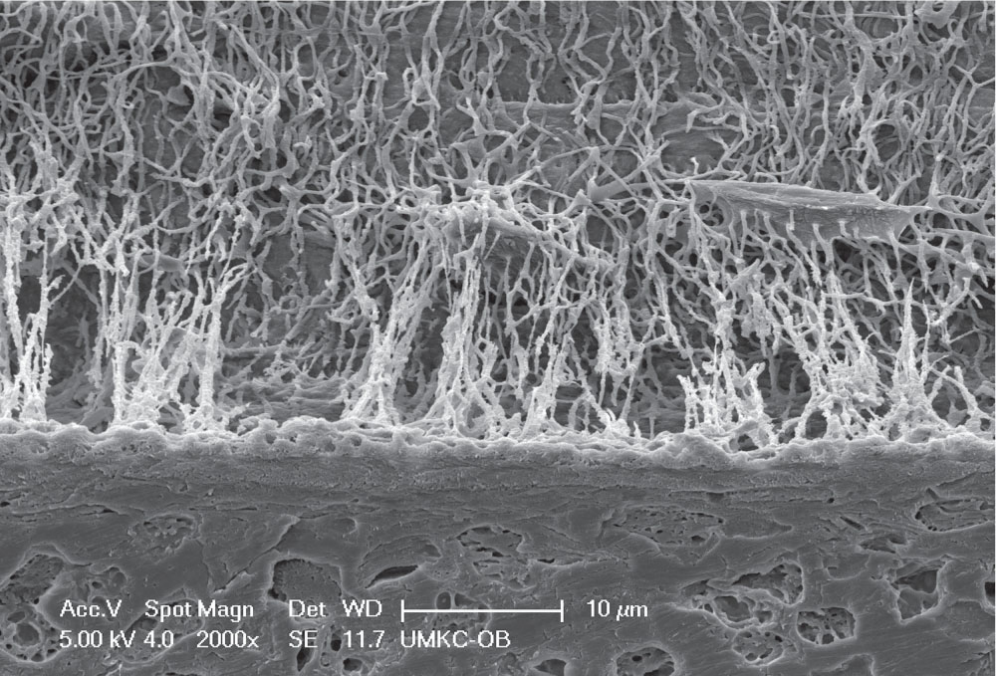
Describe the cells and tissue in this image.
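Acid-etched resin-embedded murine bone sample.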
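Toward the bottom the tubules gather into tufts that run down onto a flat, continuous surface. Near that surface the tubules look rough and beaded, while those higher up in the network are smoother. Below the surface the material is smooth with scattered pits.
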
